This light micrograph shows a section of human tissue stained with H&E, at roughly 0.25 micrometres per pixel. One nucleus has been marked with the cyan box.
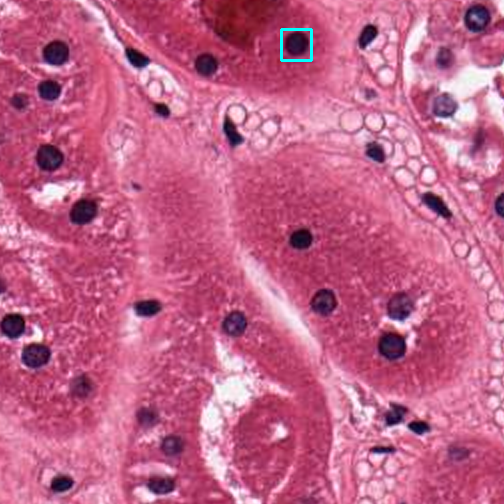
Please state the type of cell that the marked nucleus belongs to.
proximal tubule cell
